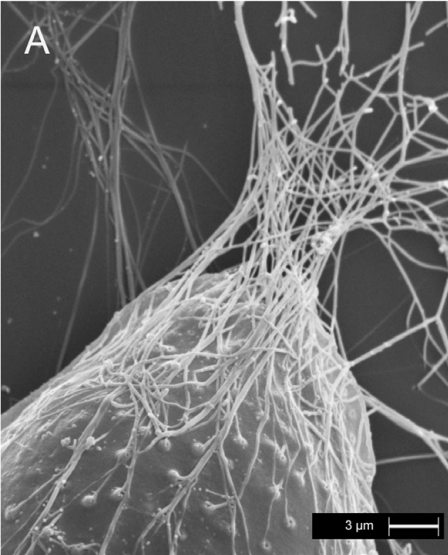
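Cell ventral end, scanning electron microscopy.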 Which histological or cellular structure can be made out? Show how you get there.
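Many thin threads emerge from the surface of the cell. The threads converge towards the cell tip and gather into a thicker strand.
Trichocysts.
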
